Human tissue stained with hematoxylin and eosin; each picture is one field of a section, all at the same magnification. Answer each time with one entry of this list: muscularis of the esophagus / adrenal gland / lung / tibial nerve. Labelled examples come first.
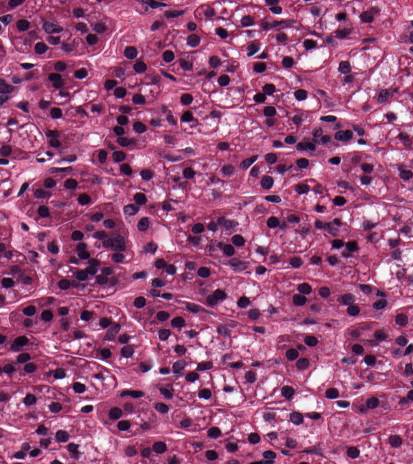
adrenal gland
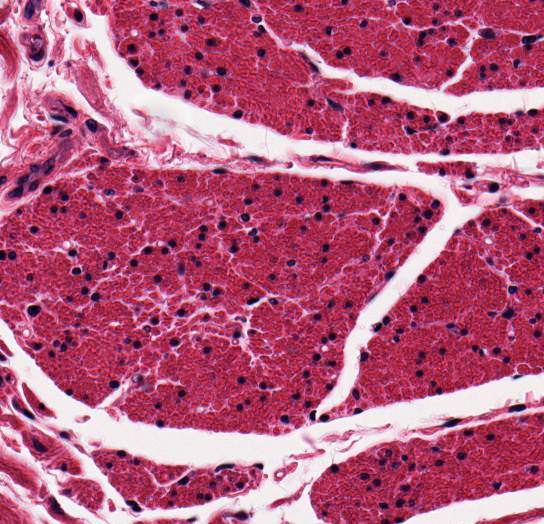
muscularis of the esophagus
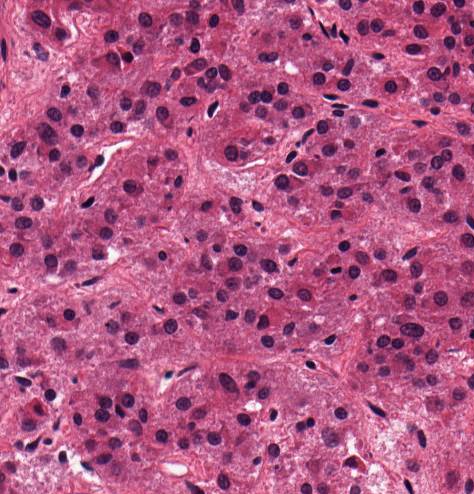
adrenal gland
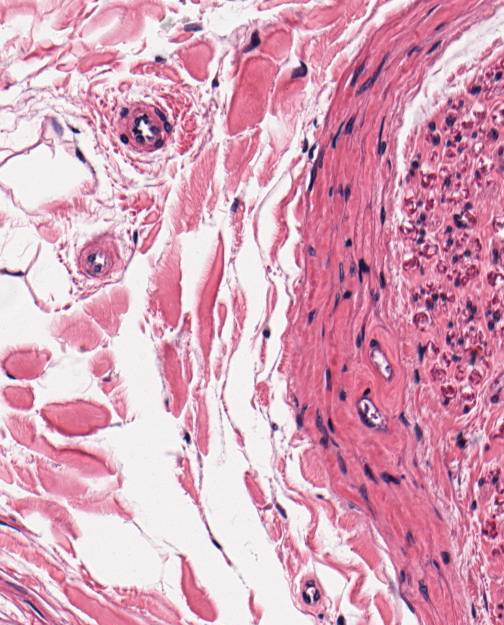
tibial nerve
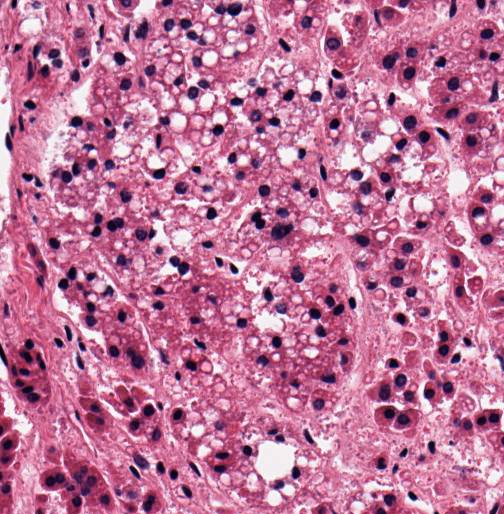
adrenal gland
